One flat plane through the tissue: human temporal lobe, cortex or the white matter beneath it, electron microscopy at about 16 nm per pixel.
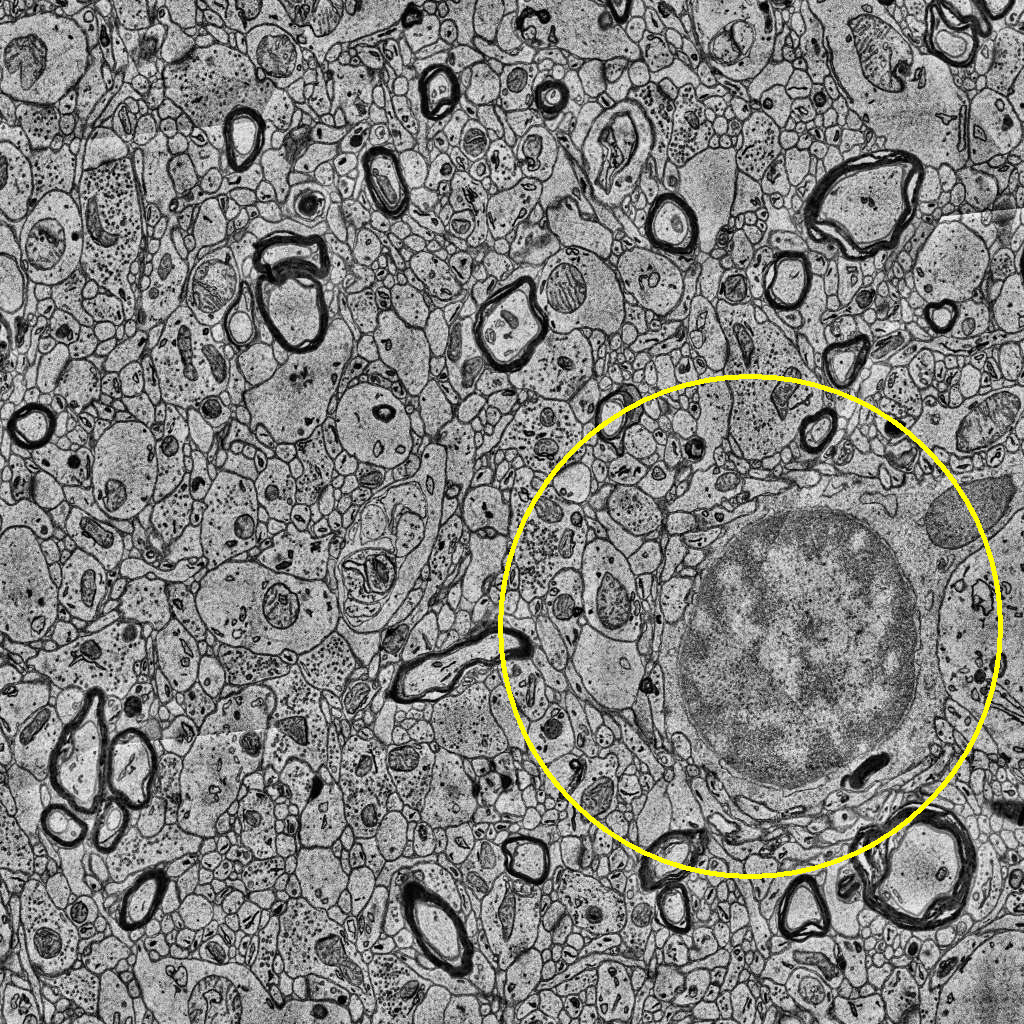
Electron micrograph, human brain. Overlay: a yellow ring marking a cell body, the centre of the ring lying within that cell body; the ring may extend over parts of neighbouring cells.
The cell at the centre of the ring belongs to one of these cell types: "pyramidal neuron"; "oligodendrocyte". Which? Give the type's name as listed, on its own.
oligodendrocyte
